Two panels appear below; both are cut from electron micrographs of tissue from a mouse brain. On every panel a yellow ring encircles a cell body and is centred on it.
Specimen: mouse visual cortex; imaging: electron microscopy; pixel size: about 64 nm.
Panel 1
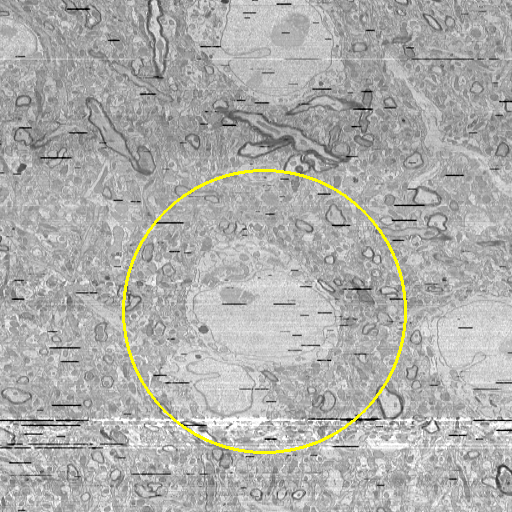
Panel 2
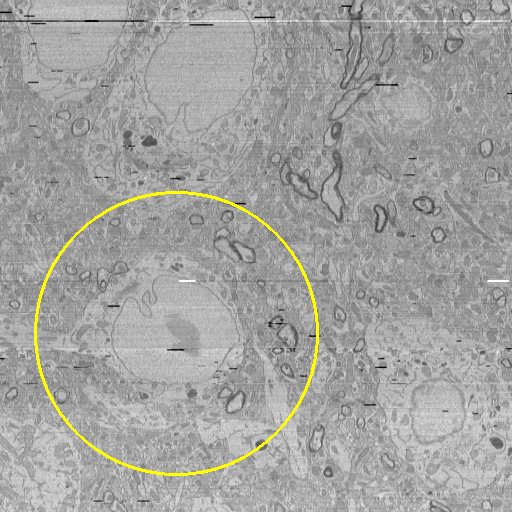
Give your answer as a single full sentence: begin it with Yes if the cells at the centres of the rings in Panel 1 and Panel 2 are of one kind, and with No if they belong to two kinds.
Yes, the cells in the middle of the rings in Panels 1 and 2 are of one kind.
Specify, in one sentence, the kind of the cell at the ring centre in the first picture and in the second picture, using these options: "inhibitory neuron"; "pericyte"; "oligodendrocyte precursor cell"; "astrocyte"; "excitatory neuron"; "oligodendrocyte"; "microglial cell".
Each one of the two ringed cells is an excitatory neuron.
